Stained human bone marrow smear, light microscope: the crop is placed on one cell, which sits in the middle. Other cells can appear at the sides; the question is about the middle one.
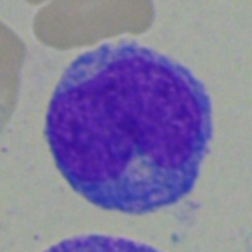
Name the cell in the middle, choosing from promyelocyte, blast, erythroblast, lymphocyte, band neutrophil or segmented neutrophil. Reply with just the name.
blast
